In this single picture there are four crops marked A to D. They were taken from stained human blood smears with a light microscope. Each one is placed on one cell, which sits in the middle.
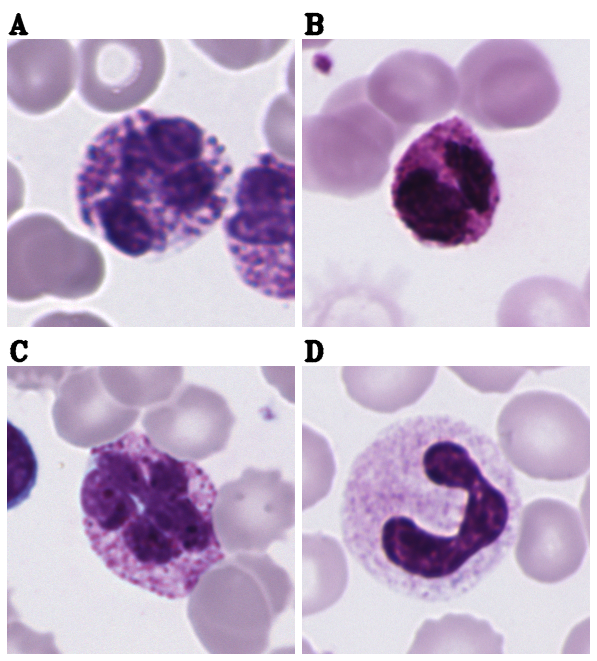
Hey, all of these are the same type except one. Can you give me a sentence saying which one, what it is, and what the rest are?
Only crop D differs, being a segmented neutrophil, while the others all show basophils.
